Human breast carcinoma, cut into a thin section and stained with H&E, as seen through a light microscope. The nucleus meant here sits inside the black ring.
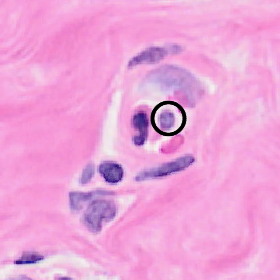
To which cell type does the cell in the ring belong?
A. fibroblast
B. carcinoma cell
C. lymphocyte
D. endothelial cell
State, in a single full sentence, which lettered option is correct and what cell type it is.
Option C gets it right, as the cell in the ring is a lymphocyte.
